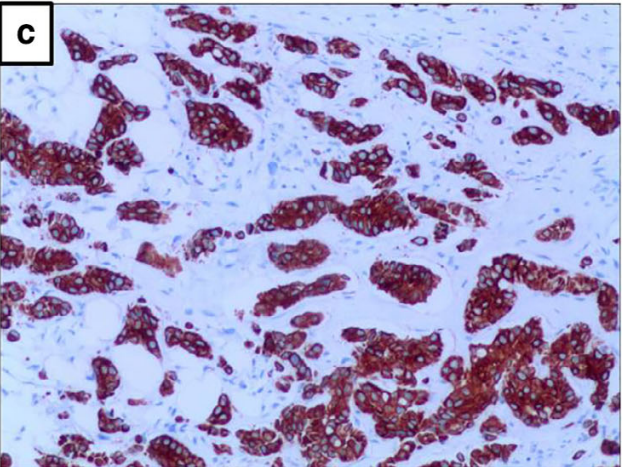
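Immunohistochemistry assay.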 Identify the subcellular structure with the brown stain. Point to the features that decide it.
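Brown stain fills the cell bodies of the tumour cells, not only their borders. Nuclei stand out as pale rounded areas within brown cells. Surrounding stroma and fat remain unstained. The answer: cytoplasm.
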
